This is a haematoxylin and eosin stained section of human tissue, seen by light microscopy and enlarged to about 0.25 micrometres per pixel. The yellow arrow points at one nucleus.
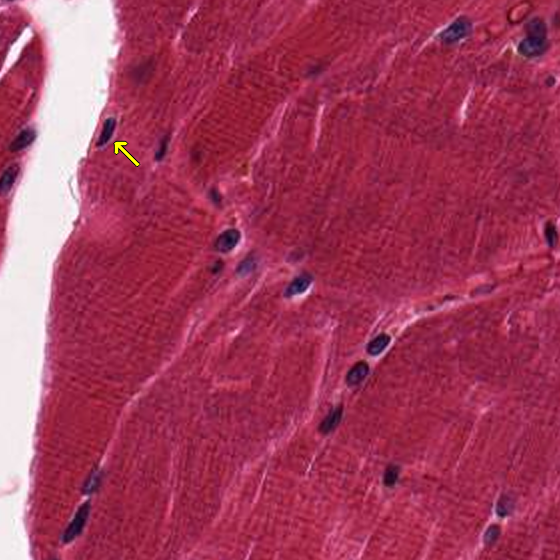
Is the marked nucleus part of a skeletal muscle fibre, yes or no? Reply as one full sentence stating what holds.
Yes, the marked nucleus represents the nucleus of a skeletal muscle fibre.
